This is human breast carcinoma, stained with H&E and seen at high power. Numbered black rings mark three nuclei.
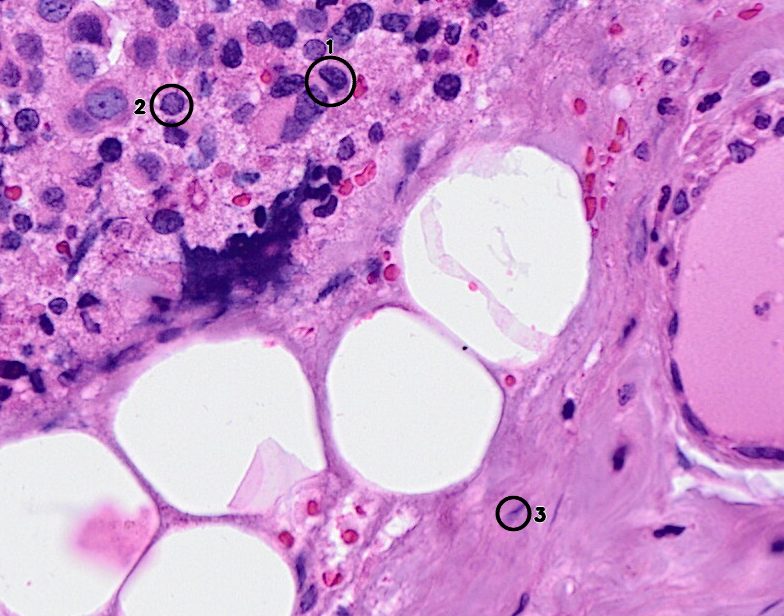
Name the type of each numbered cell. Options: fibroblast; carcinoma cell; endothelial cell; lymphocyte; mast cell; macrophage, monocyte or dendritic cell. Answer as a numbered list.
1. carcinoma cell
2. carcinoma cell
3. fibroblast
